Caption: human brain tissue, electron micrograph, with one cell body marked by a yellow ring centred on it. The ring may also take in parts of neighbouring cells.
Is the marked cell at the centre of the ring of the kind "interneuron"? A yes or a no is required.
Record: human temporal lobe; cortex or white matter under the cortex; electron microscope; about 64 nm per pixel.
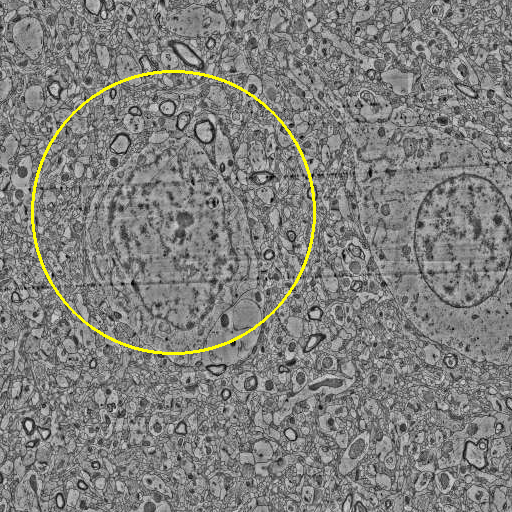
yes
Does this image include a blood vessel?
No.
